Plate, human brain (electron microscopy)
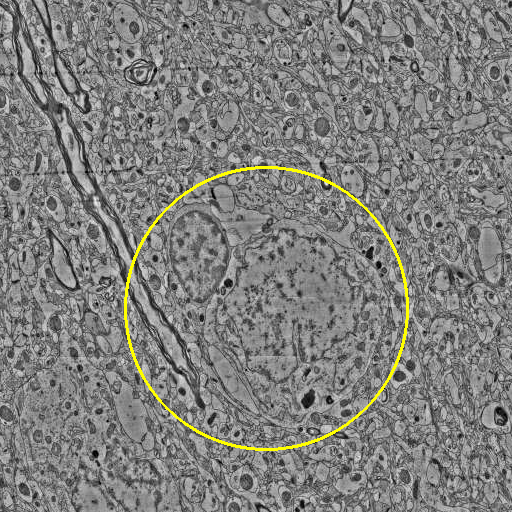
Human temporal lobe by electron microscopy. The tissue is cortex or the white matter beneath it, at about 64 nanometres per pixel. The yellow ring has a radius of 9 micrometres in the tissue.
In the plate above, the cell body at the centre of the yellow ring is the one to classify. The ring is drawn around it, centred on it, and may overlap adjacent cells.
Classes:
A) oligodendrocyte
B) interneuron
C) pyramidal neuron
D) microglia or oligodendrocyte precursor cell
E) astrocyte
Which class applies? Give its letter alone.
B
